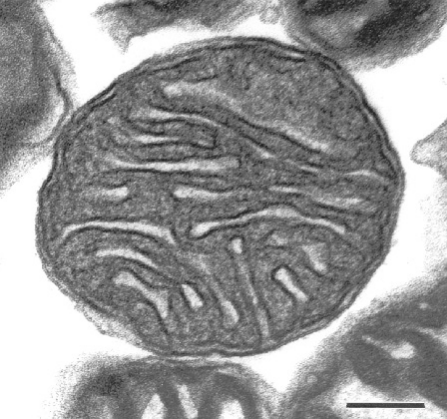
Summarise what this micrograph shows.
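This is a single isolated mitochondrion seen in thin section, round in profile and filling most of the field. It is bounded by an unbroken double membrane, the outer and inner mitochondrial membranes. Inside, a dense, finely granular matrix is crossed by many folded cristae, which appear as paired dark membranes around pale slit-like spaces running in various directions. Parts of neighbouring mitochondria show at the edges.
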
